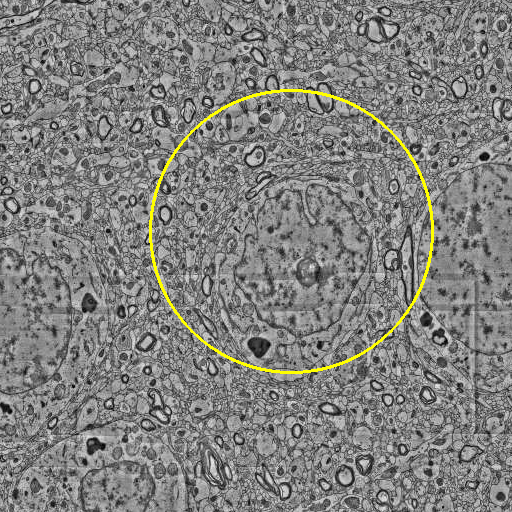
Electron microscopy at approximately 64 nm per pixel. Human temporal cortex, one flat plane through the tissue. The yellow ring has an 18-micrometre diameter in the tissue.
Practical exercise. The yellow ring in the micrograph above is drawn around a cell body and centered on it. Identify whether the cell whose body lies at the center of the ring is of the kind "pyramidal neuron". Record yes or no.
no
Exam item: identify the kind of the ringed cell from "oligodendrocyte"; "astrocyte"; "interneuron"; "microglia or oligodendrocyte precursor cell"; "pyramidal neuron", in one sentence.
Sitting at the ring centre is an interneuron.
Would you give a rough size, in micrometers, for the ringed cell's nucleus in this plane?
In this plane the ringed cell's nucleus is roughly 9 micrometres across.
